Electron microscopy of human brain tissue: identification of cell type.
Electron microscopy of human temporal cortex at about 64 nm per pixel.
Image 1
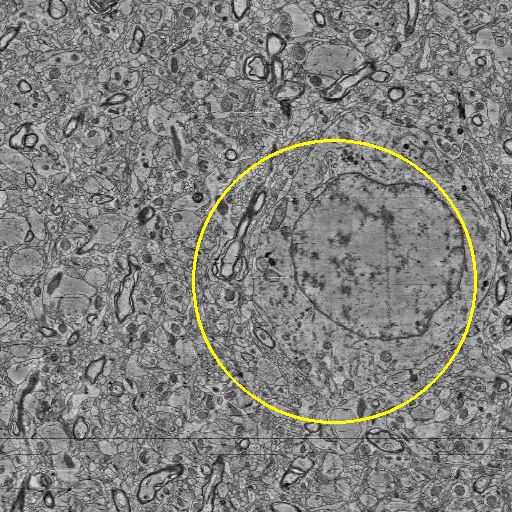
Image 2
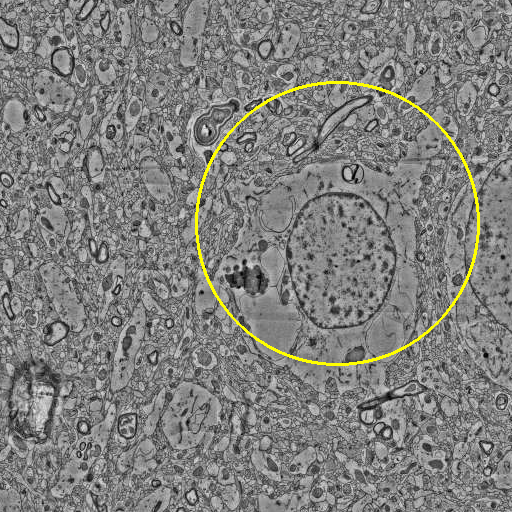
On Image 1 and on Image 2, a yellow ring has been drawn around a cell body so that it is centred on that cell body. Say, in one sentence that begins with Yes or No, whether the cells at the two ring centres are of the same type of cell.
No, the two cells are two separate types of cell.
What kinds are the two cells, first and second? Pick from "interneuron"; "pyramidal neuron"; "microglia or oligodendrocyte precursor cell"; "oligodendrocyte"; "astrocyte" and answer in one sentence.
The second picture holds an astrocyte in its ring, and the first holds a pyramidal neuron.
